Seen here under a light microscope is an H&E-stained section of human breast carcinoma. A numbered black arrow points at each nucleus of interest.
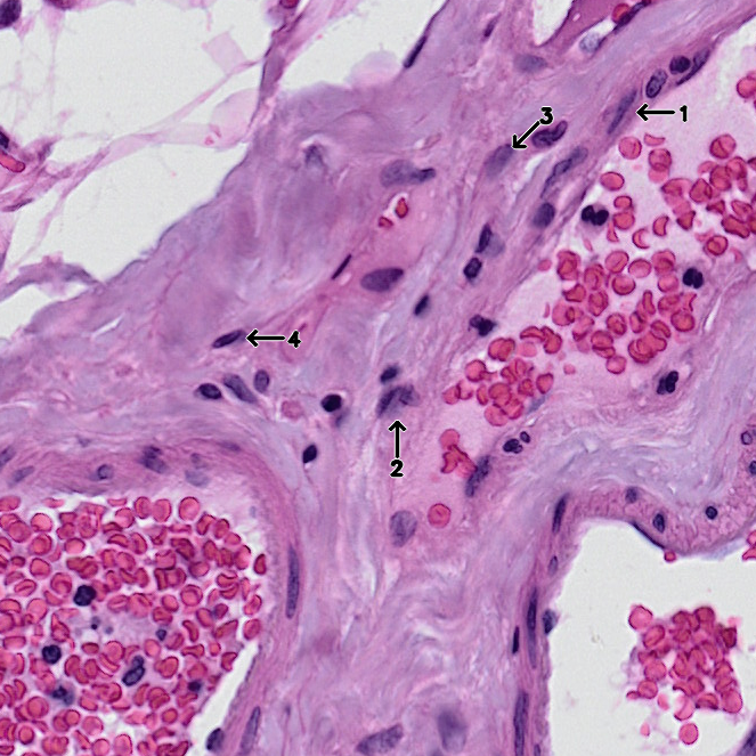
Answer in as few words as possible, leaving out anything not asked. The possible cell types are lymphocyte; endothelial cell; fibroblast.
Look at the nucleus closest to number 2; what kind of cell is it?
lymphocyte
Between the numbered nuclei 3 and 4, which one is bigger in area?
3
